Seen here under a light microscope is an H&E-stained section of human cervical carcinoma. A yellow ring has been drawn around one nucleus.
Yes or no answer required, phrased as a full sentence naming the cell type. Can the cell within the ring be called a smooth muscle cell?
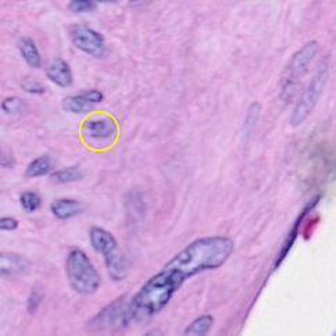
Yes, regarding cell type, the cell within the ring is a smooth muscle cell.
